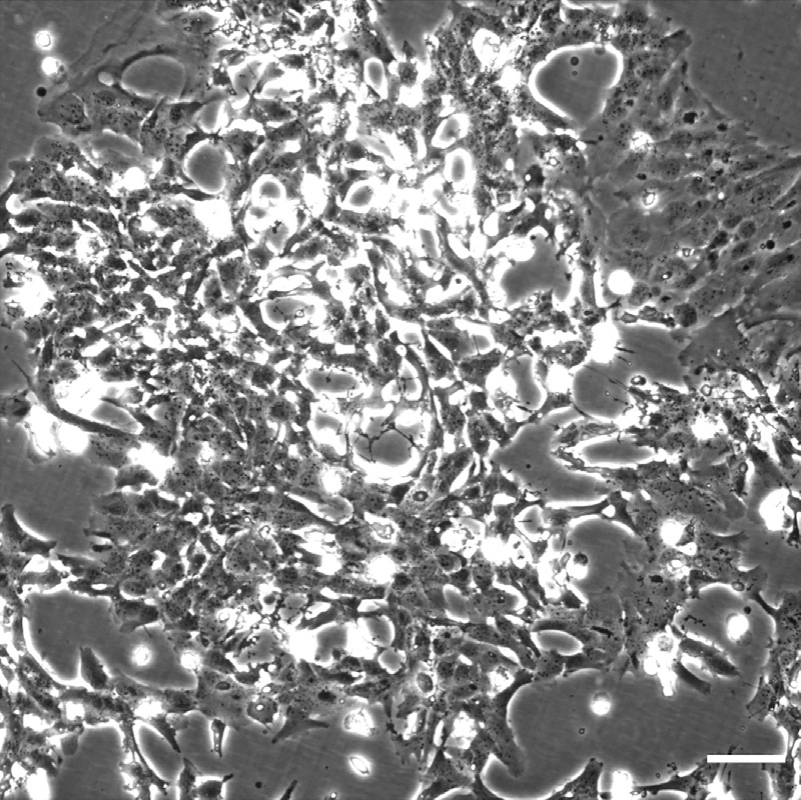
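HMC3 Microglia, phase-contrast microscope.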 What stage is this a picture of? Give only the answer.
Overconfluent Culture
